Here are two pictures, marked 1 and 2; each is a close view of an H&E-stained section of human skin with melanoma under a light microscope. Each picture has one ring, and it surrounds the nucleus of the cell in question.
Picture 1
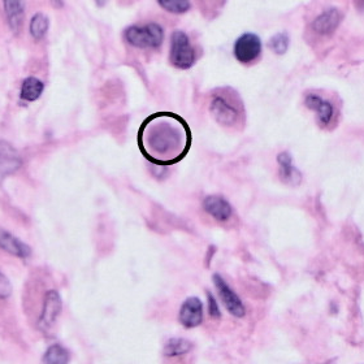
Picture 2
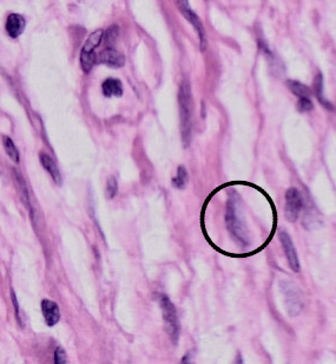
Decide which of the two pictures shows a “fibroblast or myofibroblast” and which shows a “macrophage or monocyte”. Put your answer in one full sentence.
Picture 2 shows a “fibroblast or myofibroblast”, while picture 1 shows a “macrophage or monocyte”.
